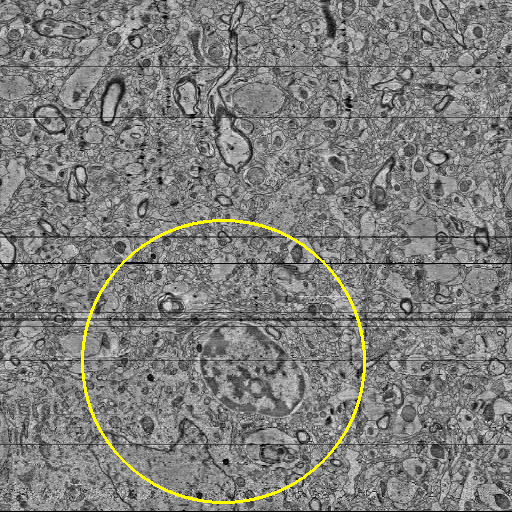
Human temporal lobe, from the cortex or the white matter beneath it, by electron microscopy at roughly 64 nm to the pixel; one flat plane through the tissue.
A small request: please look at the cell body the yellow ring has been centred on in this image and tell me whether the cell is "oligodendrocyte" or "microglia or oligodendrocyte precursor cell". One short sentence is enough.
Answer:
The cell marked by the ring is a microglial cell or oligodendrocyte precursor cell.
